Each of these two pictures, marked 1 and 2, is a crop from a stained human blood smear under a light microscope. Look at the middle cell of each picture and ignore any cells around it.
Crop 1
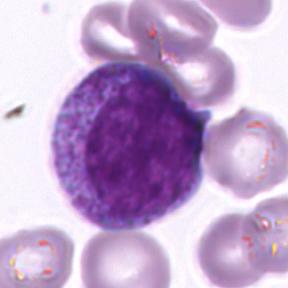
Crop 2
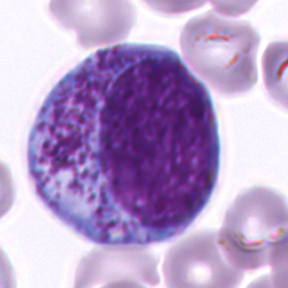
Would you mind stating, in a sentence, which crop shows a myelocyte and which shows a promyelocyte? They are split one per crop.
Identification: crop 1 is a myelocyte; crop 2 is a promyelocyte.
